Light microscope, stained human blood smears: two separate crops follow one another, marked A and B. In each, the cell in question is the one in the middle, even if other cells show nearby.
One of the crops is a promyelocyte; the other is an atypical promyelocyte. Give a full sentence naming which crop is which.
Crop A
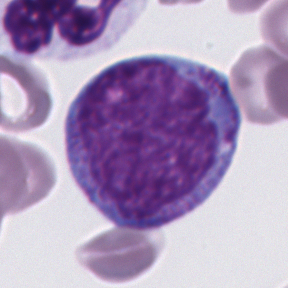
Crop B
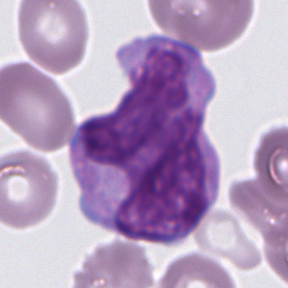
Recognised in crop A is a promyelocyte, and recognised in crop B is an atypical promyelocyte.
